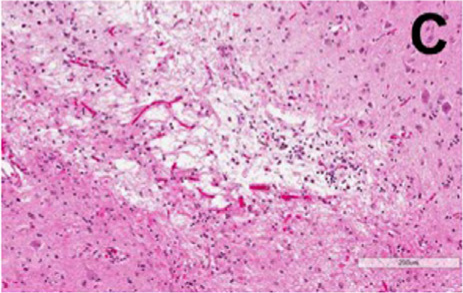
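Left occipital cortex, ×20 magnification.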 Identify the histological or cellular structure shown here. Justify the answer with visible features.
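Small localized necrotic core. A pale, vacuolated, loose area replaces the dense pink tissue. Thin red-stained vessels run through the pale area. Small dark nuclei gather at the edge of the pale area.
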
